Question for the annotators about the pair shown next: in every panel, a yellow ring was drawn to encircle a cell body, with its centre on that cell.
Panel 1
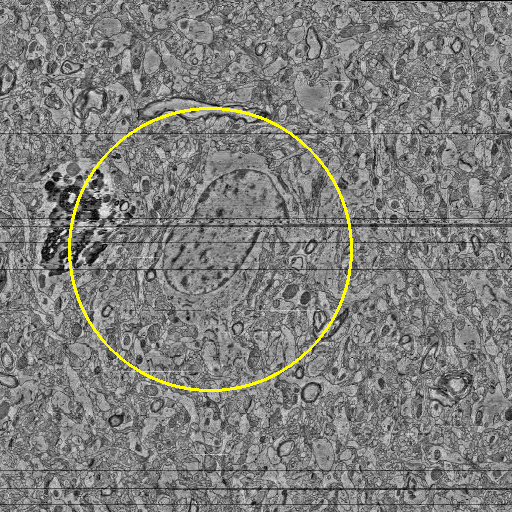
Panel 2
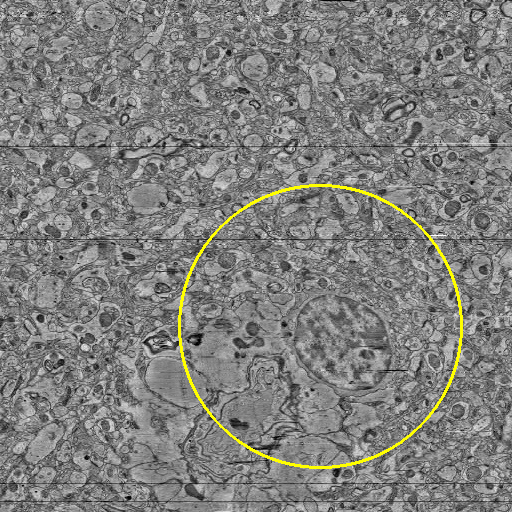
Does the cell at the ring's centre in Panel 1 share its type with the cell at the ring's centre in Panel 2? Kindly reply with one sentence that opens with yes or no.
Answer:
No, in Panels 1 and 2 the cells at the ring centres belong to separate types.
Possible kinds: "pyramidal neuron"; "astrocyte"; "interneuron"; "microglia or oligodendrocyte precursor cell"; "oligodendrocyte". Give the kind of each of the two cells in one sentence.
The cell in the second picture is an oligodendrocyte, and that in the first is an astrocyte.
